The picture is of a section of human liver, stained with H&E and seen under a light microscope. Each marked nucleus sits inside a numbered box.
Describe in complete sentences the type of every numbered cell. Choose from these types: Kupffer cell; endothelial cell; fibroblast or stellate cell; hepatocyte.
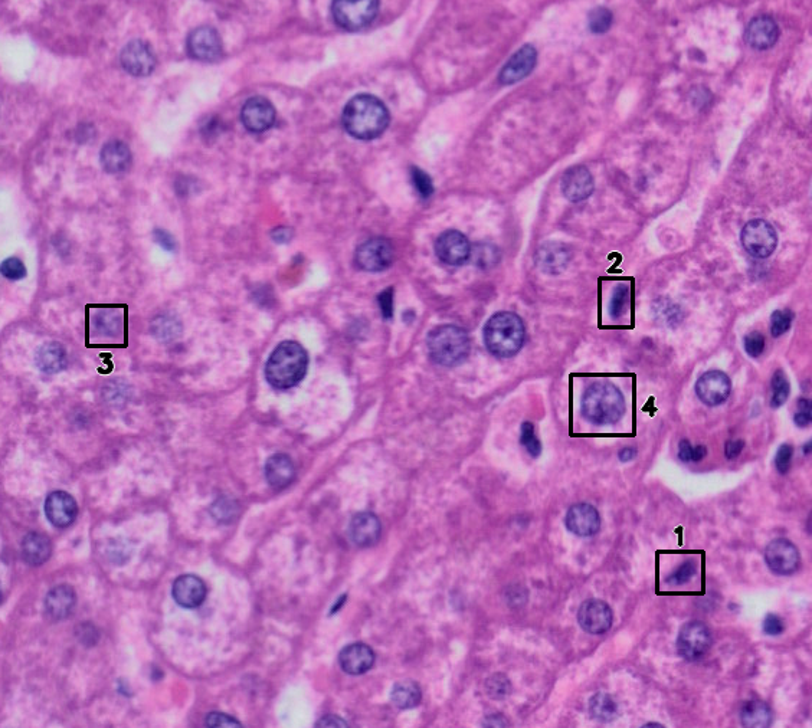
Cell 1 is a fibroblast or stellate cell. Cell 2 is an endothelial cell. Cells 3 and 4 are hepatocytes.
